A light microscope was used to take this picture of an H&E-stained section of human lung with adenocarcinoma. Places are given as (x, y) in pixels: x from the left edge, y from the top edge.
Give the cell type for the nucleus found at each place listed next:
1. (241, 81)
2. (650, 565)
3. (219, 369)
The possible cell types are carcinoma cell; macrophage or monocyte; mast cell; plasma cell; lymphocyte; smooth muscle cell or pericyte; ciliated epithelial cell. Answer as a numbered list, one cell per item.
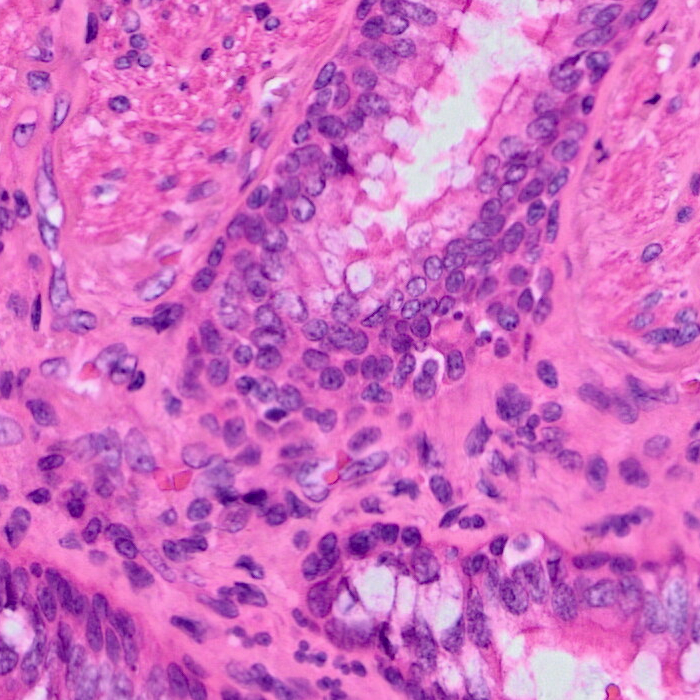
1. smooth muscle cell or pericyte
2. ciliated epithelial cell
3. ciliated epithelial cell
